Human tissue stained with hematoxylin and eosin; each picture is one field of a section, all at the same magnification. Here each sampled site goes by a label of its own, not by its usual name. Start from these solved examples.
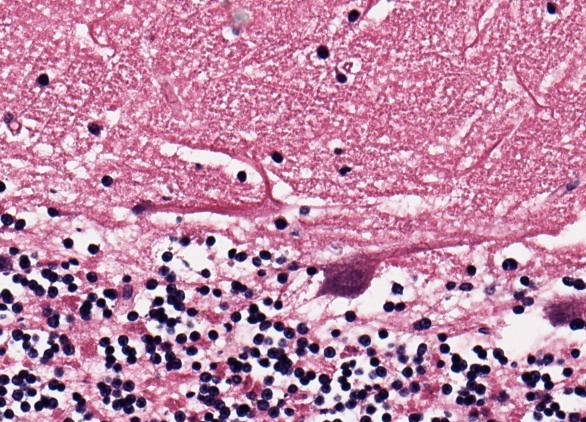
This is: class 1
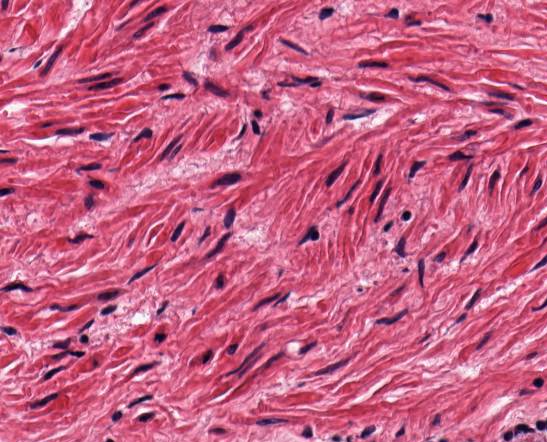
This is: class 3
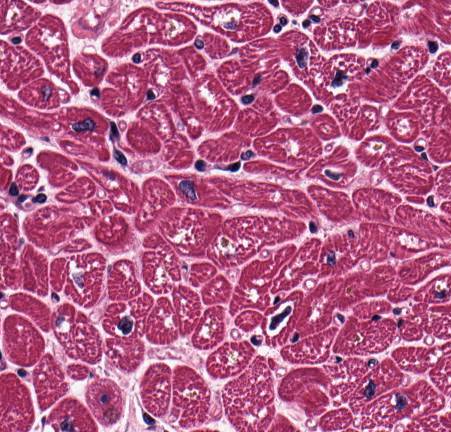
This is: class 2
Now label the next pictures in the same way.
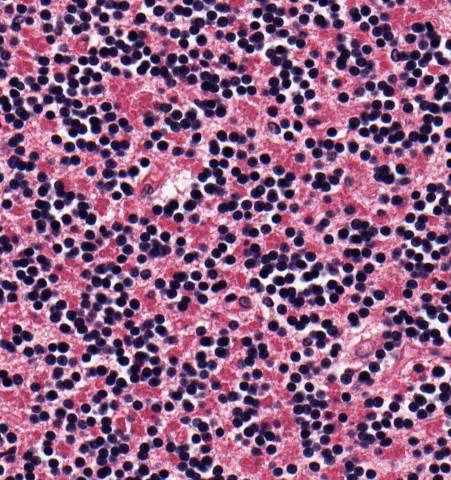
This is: class 1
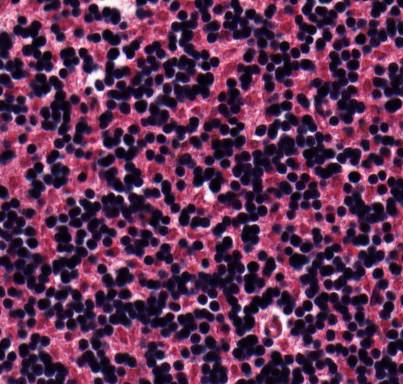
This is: class 1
